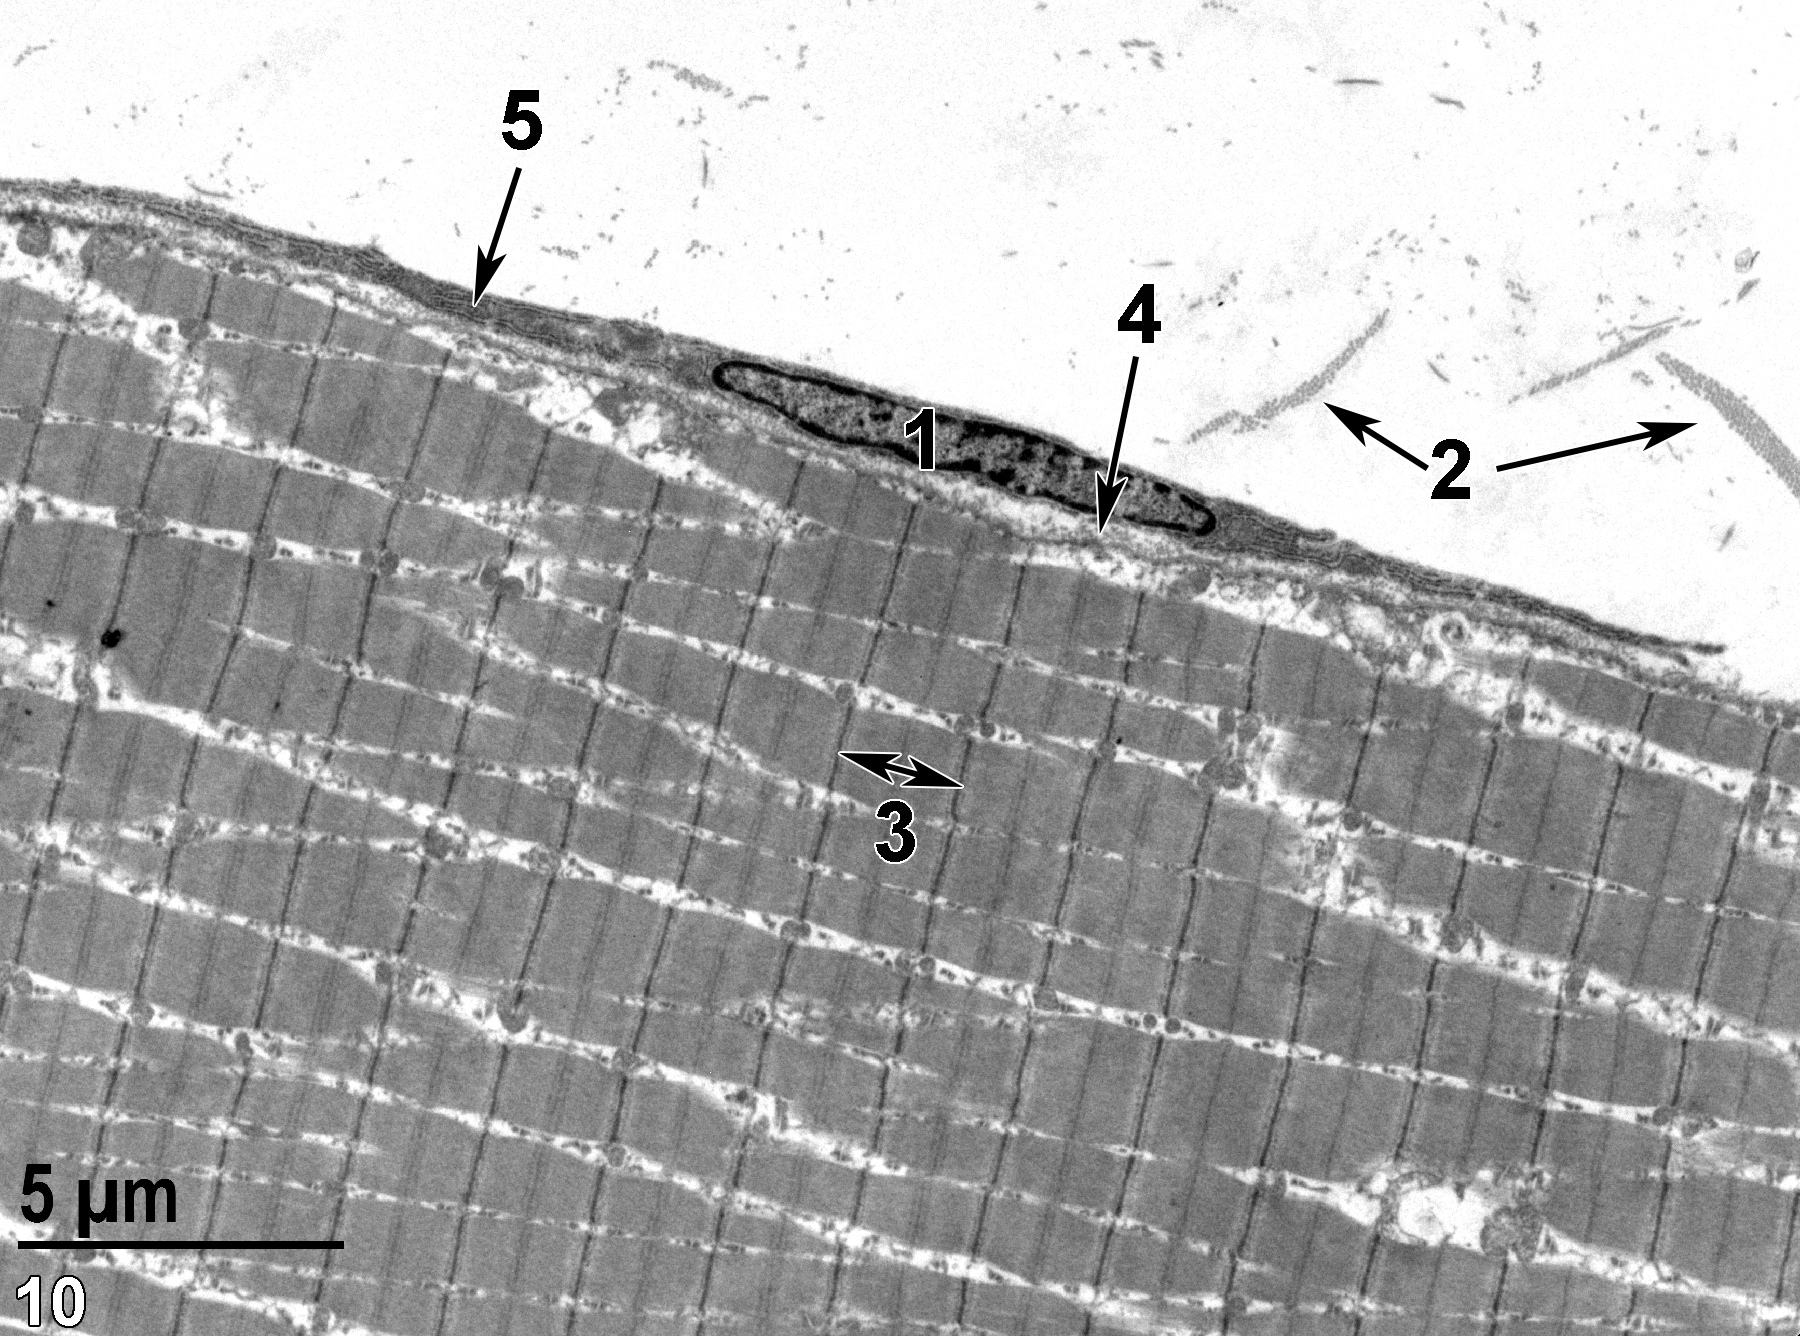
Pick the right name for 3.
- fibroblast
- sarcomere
sarcomere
